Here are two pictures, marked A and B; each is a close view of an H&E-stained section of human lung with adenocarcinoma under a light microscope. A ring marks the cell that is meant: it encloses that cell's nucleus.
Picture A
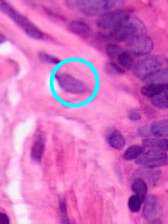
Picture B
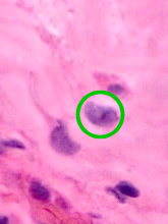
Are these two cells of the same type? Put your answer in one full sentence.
Yes; the cells in both pictures are fibroblasts.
